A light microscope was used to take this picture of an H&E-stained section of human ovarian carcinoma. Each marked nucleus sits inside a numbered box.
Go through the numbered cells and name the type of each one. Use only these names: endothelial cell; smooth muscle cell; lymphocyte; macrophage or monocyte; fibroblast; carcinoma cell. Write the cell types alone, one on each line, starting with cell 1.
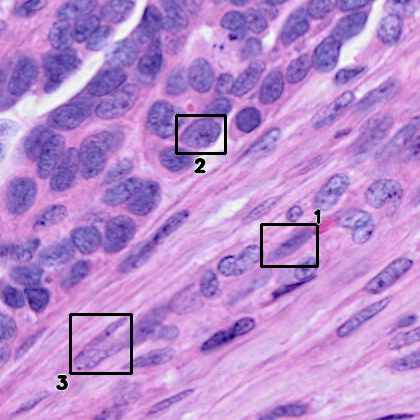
endothelial cell
carcinoma cell
fibroblast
